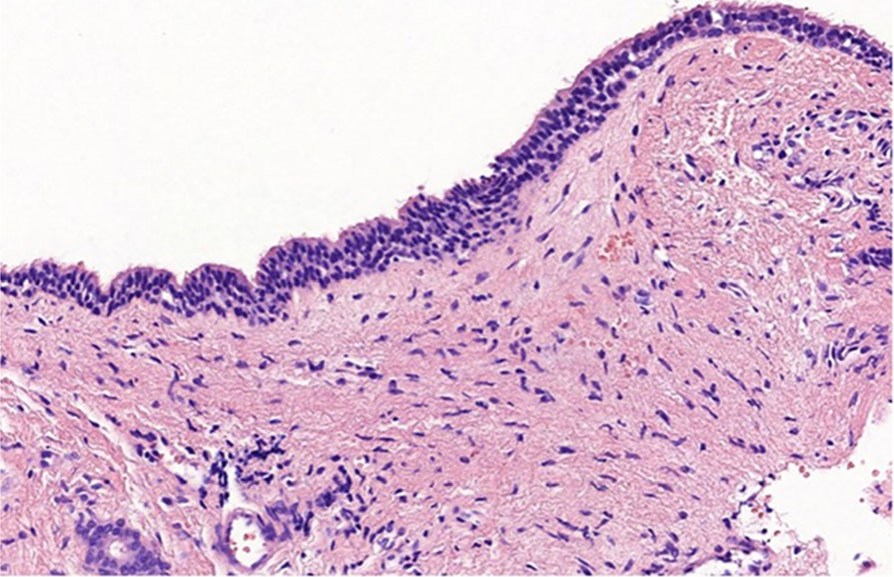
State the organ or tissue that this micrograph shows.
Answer: ciliated pseudostratified columnar epithelium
